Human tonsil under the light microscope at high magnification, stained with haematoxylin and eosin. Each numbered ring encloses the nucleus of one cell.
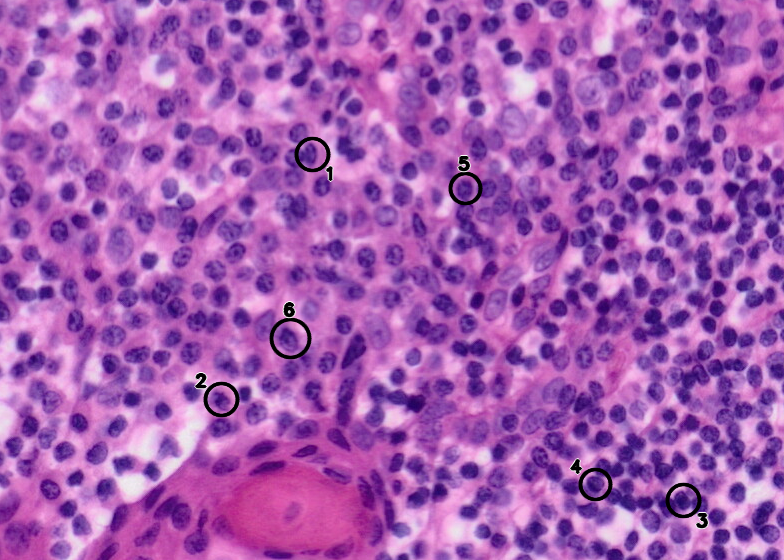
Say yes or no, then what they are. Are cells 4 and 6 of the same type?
No; whereas cell 4 is a small lymphocyte, cell 6 is a plasma cell.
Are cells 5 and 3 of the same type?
No, cell 5 is a plasma cell, and cell 3, for its part, is a small lymphocyte.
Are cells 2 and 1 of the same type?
Yes, along with cell 2, cell 1 is also among the plasma cells.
